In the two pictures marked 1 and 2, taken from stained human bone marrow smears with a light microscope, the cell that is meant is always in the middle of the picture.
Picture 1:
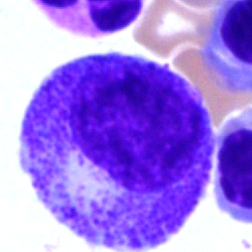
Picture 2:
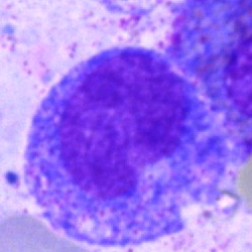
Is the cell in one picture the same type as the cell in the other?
yes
